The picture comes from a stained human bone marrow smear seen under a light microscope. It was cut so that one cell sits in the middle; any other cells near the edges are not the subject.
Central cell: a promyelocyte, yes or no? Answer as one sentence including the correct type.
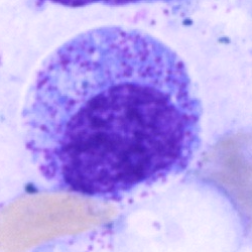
Yes, the centred cell is categorised as a promyelocyte.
